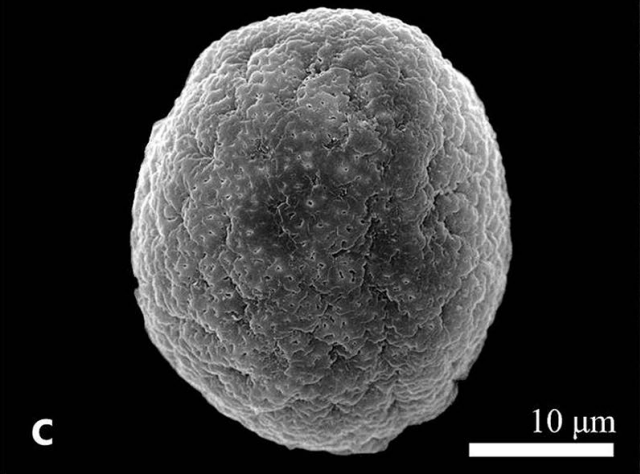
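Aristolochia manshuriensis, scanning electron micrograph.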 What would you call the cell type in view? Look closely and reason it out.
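A single ovoid grain roughly 30 µm long. The outer surface is bumpy with small pits scattered over it.
Answer: pollen grains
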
